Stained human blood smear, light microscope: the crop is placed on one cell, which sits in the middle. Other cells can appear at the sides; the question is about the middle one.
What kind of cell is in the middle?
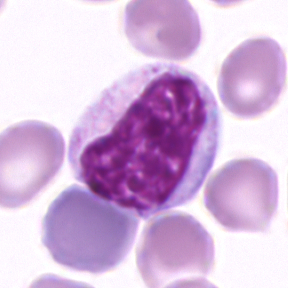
metamyelocyte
